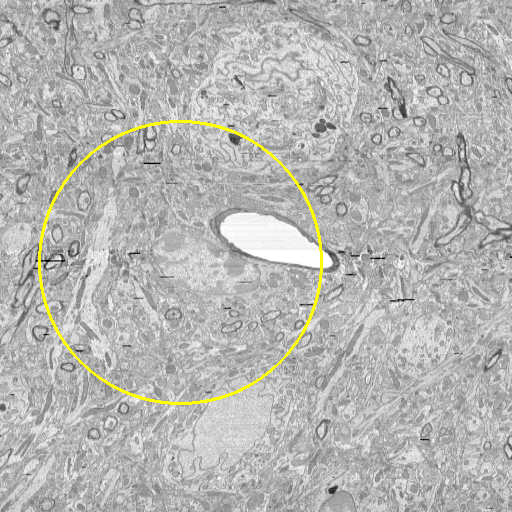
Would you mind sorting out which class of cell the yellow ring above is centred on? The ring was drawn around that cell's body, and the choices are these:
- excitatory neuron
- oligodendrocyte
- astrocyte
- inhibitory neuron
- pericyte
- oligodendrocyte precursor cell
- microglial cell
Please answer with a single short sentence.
This is the cell body of an oligodendrocyte.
